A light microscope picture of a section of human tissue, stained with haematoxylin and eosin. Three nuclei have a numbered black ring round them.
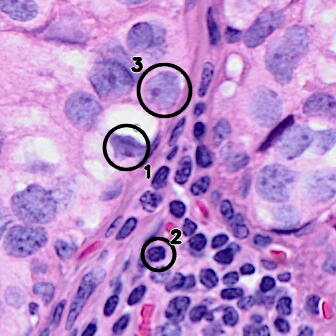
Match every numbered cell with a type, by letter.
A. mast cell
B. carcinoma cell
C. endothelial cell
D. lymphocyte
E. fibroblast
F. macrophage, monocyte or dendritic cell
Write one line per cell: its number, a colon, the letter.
1: B
2: D
3: B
